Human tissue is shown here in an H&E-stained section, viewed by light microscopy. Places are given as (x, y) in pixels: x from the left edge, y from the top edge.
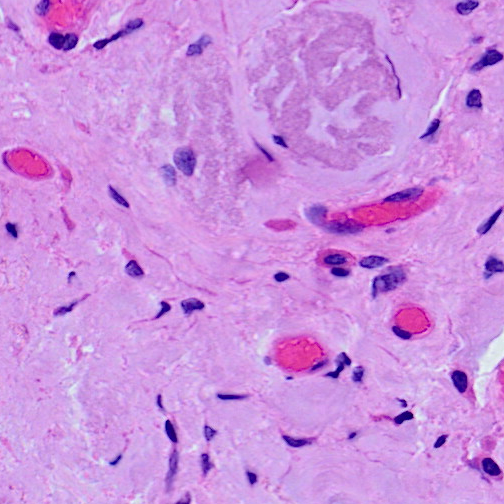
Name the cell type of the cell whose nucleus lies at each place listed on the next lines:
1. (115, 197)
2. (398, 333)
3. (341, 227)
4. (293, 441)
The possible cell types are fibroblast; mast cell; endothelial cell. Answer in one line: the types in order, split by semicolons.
fibroblast; endothelial cell; endothelial cell; fibroblast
